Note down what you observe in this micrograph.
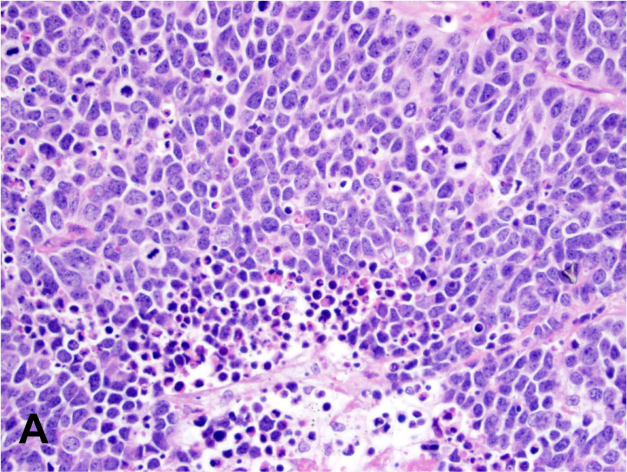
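Densely packed small to intermediate-sized tumor cells form solid sheets. The cells have scant pale cytoplasm, so oval to elongated nuclei lie close together and mould against one another. Chromatin is dense and finely granular, and nucleoli are mostly inconspicuous. Several mitotic figures are scattered through the sheet. In the lower centre a cluster of small, round, intensely dark fragments with clear halos marks apoptotic bodies and cell debris. Thin pink strands of stroma run between groups of cells at the edges.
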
